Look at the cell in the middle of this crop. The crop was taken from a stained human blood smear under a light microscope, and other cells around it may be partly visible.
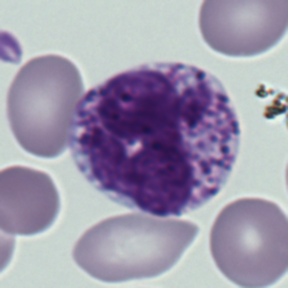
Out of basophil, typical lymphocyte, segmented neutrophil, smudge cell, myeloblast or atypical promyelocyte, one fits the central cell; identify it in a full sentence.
The center cell of this crop is a basophil.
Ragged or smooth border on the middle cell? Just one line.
The edge of the cell is unbroken and smooth, bearing no projections.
